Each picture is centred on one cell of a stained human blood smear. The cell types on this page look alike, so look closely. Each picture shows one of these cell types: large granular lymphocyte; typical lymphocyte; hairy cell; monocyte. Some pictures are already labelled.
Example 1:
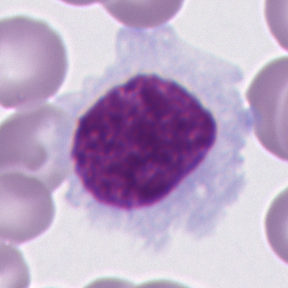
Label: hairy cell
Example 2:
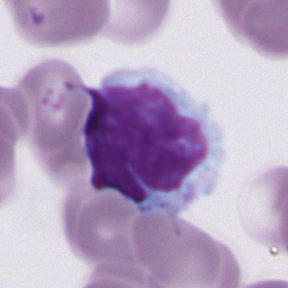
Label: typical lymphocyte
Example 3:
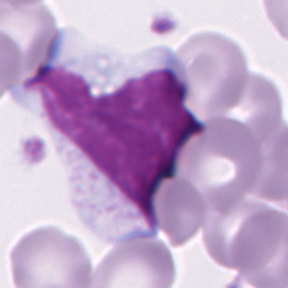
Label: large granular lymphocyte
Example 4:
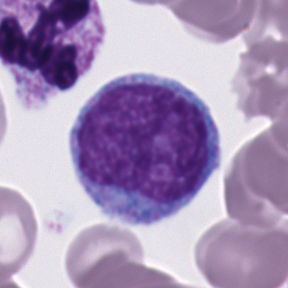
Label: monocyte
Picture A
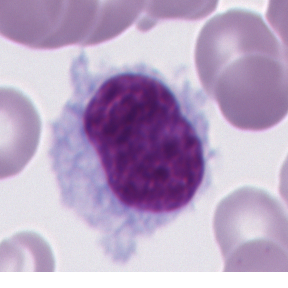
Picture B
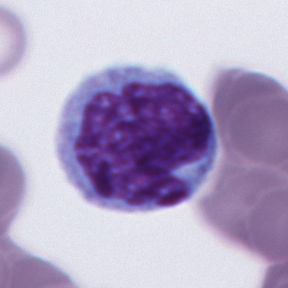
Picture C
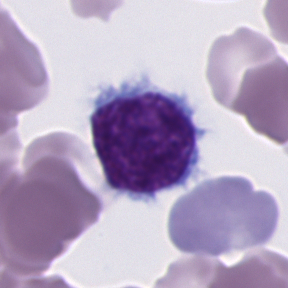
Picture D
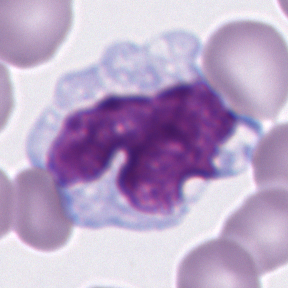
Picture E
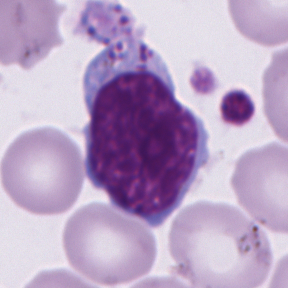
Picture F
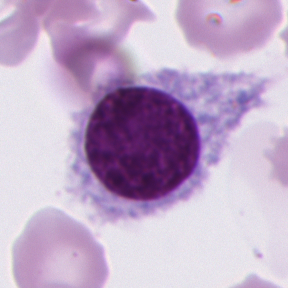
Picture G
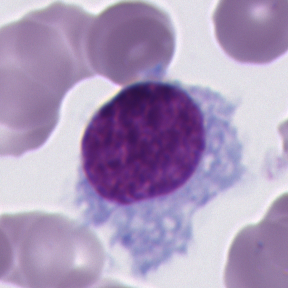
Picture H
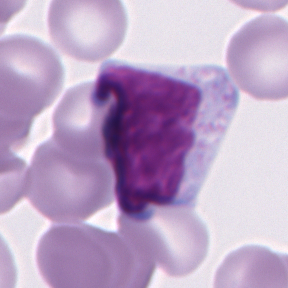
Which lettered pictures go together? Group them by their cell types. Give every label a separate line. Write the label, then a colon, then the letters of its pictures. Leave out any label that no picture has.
large granular lymphocyte: E, H
hairy cell: A, C, F, G
monocyte: B, D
